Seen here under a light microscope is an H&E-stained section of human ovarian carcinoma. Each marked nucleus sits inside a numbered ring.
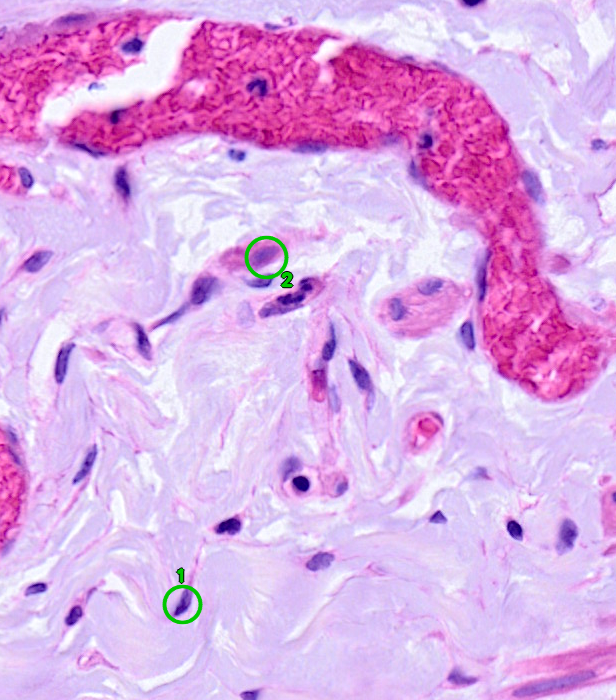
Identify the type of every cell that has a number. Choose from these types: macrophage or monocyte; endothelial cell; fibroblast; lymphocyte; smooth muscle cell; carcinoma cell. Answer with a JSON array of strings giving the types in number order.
["fibroblast", "smooth muscle cell"]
